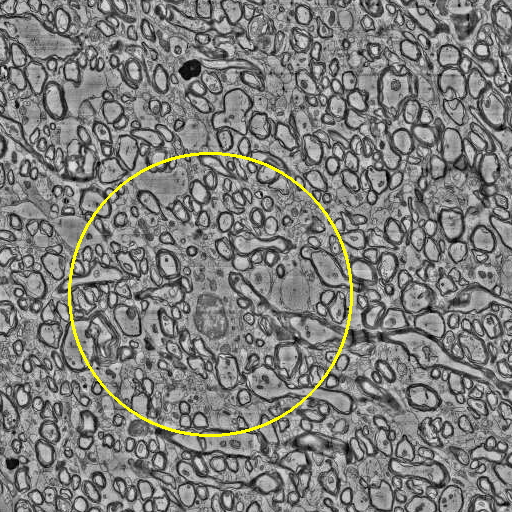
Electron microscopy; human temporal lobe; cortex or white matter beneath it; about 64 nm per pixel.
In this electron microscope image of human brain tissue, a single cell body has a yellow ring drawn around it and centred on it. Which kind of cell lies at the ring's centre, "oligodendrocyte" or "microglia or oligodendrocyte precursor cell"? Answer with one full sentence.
It is an oligodendrocyte whose cell body lies at the centre of the yellow ring here.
